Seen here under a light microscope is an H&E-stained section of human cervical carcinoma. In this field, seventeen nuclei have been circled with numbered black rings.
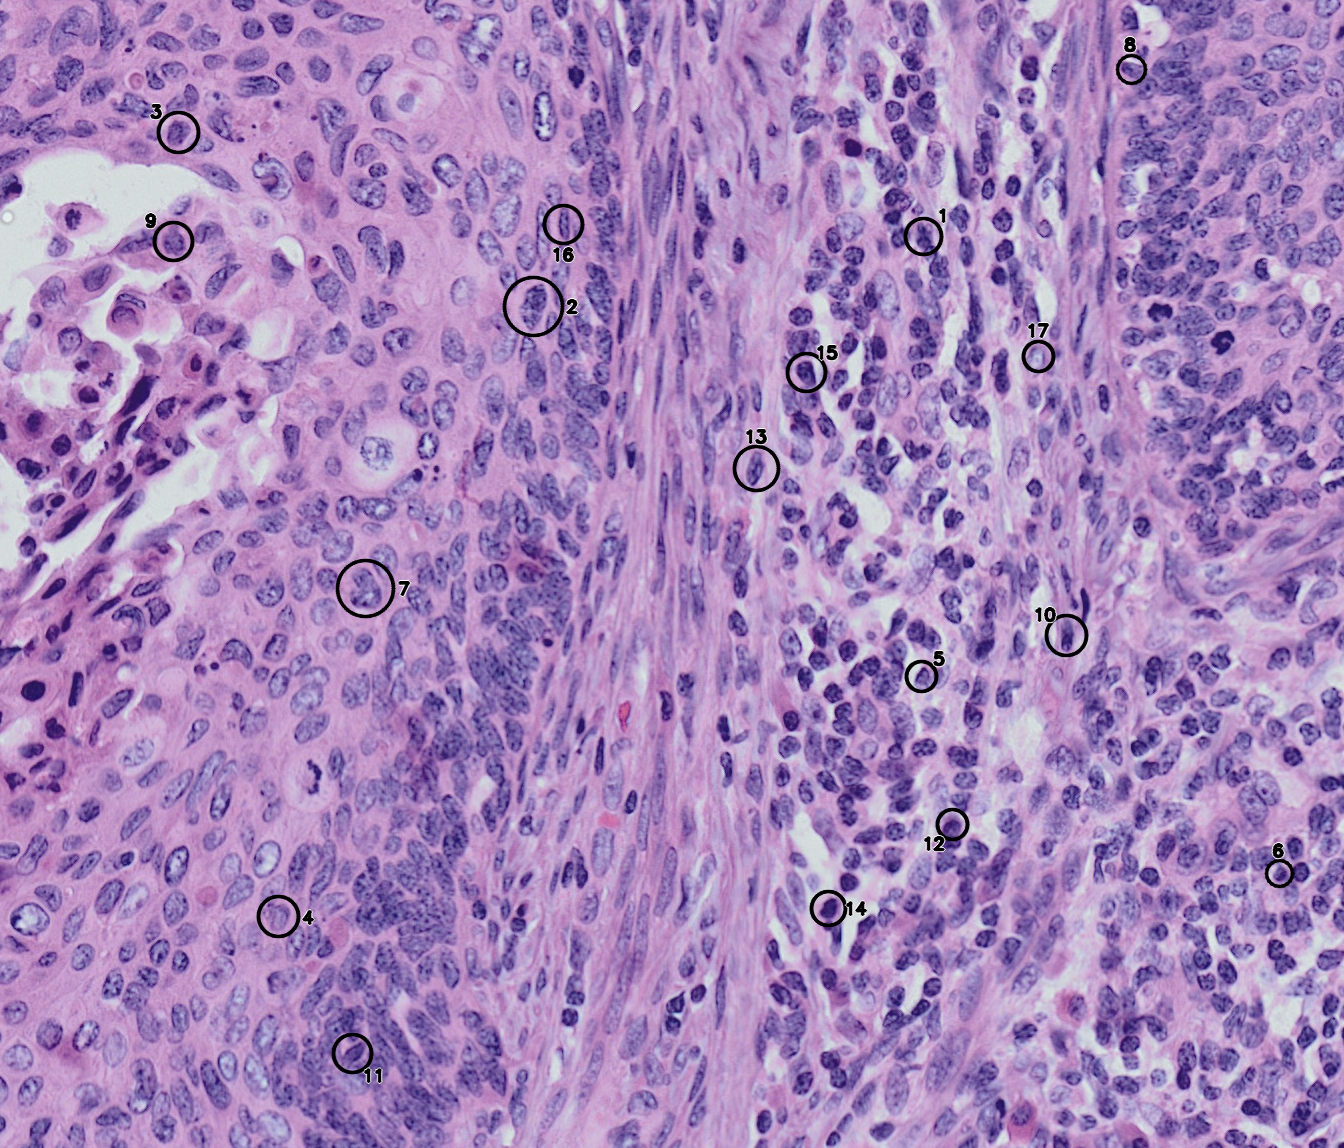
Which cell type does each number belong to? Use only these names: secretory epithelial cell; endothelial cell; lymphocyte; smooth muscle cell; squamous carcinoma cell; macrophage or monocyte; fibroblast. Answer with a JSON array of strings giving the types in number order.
["lymphocyte", "squamous carcinoma cell", "squamous carcinoma cell", "squamous carcinoma cell", "lymphocyte", "lymphocyte", "squamous carcinoma cell", "squamous carcinoma cell", "squamous carcinoma cell", "lymphocyte", "squamous carcinoma cell", "lymphocyte", "lymphocyte", "lymphocyte", "lymphocyte", "squamous carcinoma cell", "endothelial cell"]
